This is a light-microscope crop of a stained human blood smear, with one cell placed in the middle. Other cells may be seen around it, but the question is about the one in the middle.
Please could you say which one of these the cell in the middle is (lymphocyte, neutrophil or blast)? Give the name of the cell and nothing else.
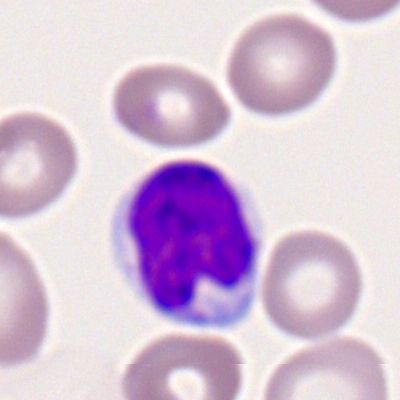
lymphocyte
